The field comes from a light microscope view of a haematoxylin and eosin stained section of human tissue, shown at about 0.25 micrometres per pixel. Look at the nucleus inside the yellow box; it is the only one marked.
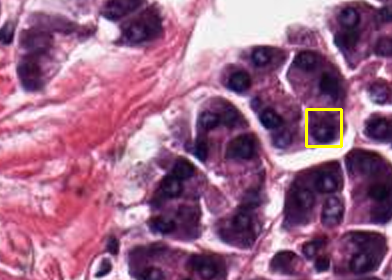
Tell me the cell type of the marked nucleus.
pancreatic acinar cell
